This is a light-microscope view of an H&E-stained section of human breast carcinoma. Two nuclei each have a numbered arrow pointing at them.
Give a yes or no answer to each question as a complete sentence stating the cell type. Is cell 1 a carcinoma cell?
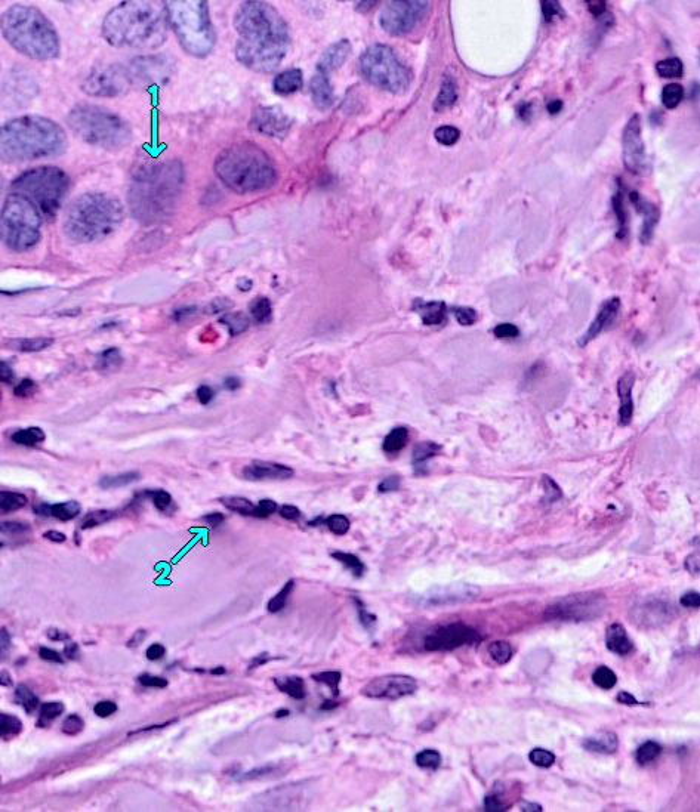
Yes, the cell that goes by number 1 is a carcinoma cell.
